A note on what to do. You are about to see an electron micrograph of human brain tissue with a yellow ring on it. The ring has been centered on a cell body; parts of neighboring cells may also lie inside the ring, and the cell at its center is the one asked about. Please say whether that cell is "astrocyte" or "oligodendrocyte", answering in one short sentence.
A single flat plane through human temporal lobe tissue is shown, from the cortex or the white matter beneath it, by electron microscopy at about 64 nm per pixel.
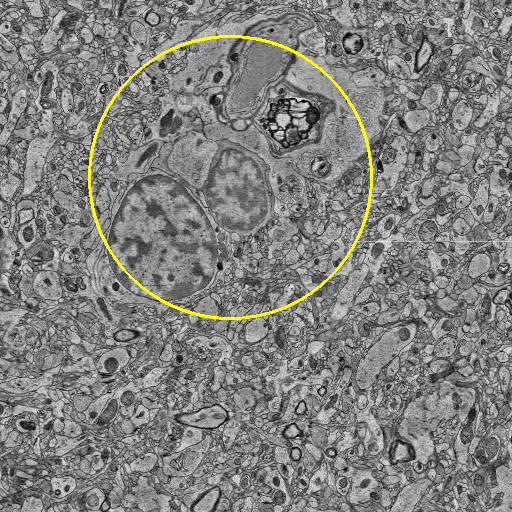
The yellow ring sits on an oligodendrocyte.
